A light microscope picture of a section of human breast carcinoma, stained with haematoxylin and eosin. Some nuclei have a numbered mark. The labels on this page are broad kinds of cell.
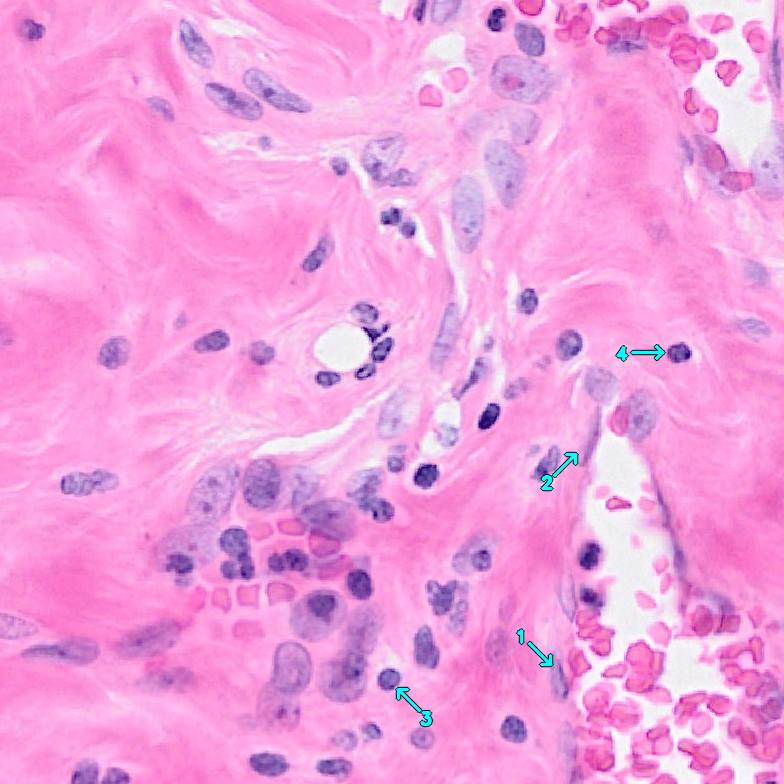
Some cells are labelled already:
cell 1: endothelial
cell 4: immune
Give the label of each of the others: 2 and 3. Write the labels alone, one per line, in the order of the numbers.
endothelial
immune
